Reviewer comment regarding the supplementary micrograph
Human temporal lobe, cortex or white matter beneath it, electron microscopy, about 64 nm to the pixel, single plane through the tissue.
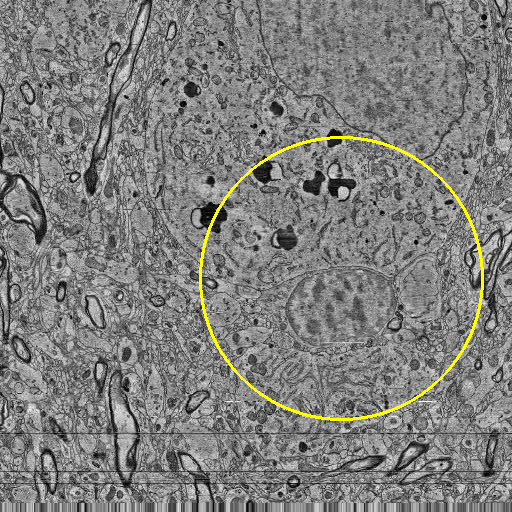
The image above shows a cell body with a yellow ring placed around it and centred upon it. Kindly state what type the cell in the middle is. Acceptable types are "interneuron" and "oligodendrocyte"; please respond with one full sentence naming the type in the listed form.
In the image above, the cell on which the yellow ring is centred is an oligodendrocyte.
